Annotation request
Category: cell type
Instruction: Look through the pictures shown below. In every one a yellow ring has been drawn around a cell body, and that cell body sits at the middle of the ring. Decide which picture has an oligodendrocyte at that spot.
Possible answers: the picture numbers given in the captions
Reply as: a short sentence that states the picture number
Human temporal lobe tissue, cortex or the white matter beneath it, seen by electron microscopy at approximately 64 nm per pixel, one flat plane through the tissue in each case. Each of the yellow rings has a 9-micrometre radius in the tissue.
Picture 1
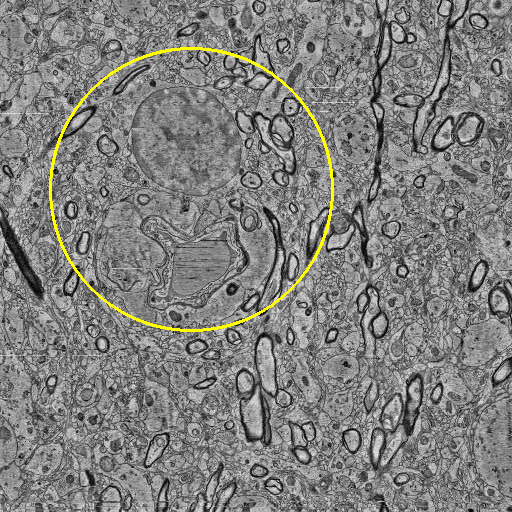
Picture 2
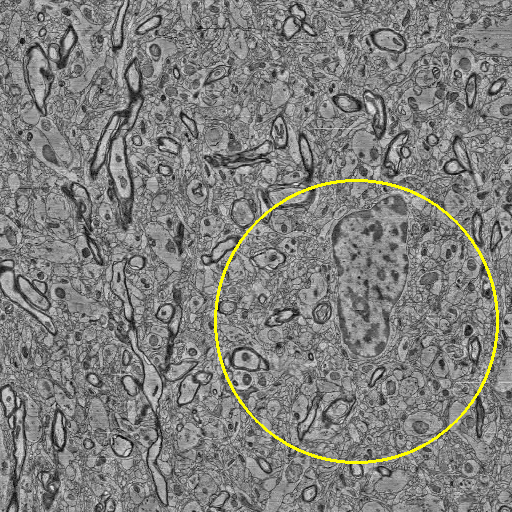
It is in Picture 1.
